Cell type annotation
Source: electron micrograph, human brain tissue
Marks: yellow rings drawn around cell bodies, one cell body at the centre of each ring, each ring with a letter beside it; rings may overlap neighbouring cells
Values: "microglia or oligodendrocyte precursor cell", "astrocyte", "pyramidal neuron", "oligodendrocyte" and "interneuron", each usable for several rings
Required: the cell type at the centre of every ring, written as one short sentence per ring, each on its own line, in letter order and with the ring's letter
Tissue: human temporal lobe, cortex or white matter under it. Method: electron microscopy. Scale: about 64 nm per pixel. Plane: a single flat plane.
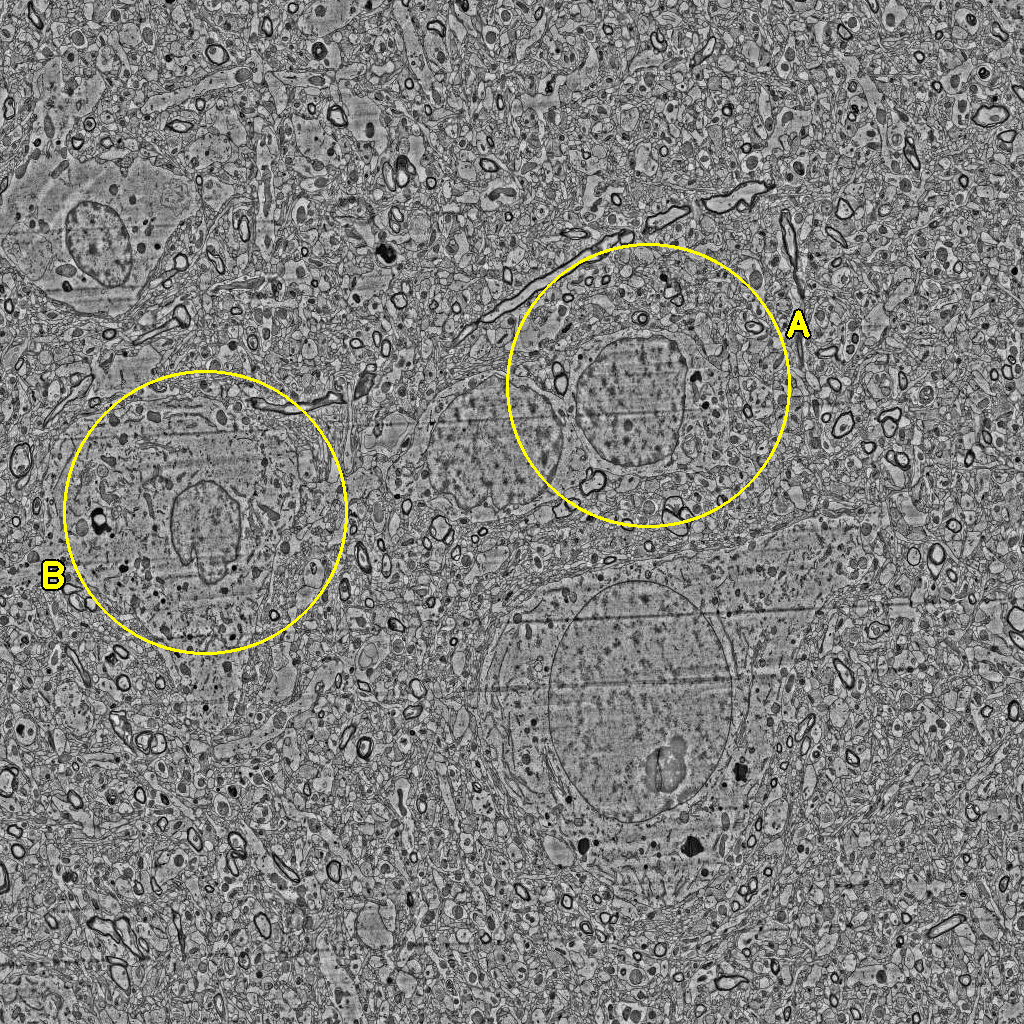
Ring A is annotated as an interneuron.
Ring B is annotated as a pyramidal neuron.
